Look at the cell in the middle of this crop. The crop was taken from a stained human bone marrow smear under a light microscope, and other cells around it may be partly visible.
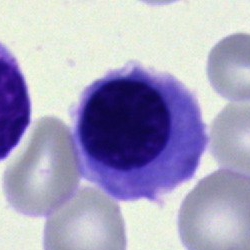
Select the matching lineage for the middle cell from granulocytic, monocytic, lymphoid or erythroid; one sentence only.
The centered cell here is of erythroid lineage.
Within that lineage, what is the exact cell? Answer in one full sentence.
The crop shows an erythroblast in its centre.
